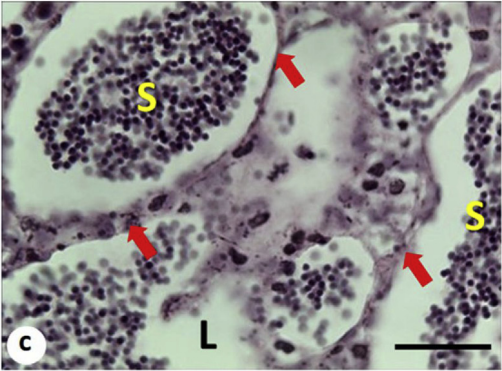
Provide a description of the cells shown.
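This is testis tissue in which rounded clusters of many small, uniformly dark, round spermatids and spermatozoa fill the tubular spaces. The clusters are bounded by thin pink walls, and between them lie strands of pink interstitial tissue holding scattered larger, paler, oval nuclei. Some tubular lumens contain only a few sperm cells and are largely empty and pale.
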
